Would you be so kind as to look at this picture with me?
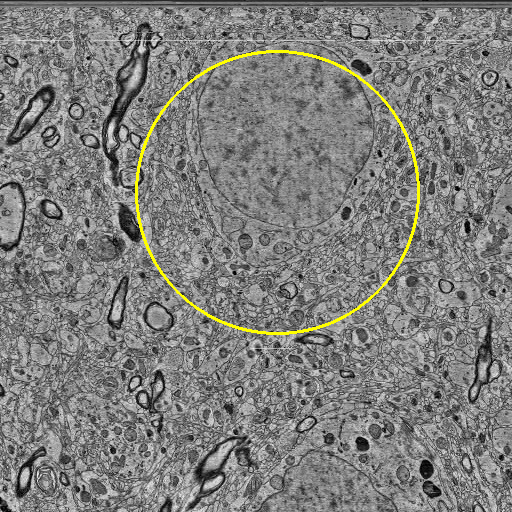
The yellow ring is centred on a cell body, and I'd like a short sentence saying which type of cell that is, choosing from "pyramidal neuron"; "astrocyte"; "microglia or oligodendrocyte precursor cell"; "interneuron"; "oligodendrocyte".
The cell body in the ring belongs to a pyramidal neuron.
